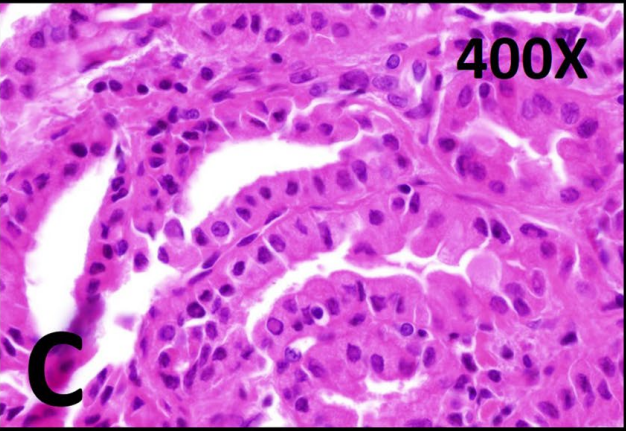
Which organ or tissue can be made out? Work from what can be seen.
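Columnar epithelium. A single layer of tall cells lines the spaces. Nuclei sit in a row within the lining cells.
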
